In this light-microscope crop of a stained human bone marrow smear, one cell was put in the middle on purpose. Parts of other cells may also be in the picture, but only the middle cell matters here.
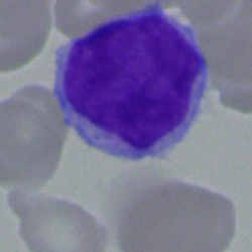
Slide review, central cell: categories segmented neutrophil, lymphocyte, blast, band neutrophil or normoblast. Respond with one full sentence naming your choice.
In this smear crop, the middle cell is a lymphocyte.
